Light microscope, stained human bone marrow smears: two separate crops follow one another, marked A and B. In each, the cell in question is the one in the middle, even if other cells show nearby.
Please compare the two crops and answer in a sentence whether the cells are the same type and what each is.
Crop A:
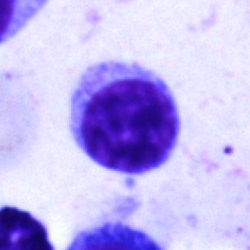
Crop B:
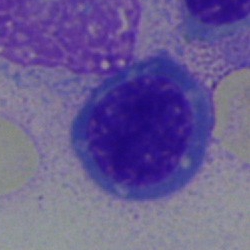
No, crop A shows a lymphocyte, with an erythroblast shown in crop B.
